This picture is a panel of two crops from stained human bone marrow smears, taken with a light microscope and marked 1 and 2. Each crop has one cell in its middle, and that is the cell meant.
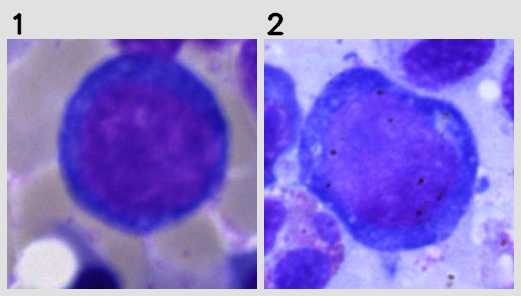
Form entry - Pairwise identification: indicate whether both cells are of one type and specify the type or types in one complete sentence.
Yes, the two cells in the two crops are proerythroblasts.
